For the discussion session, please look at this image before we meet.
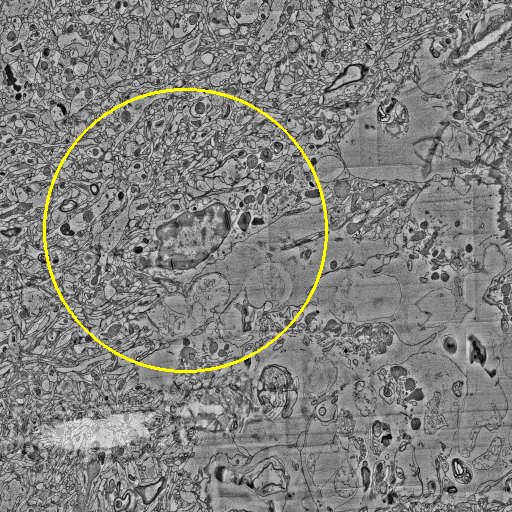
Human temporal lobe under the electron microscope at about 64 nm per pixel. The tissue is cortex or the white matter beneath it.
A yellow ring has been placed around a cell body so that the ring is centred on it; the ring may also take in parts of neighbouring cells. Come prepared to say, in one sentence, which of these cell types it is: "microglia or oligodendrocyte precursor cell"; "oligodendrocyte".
The cell centred in the ring is a microglial cell or oligodendrocyte precursor cell.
